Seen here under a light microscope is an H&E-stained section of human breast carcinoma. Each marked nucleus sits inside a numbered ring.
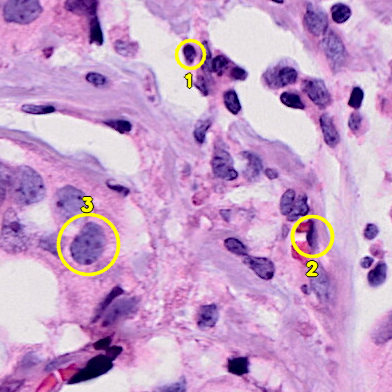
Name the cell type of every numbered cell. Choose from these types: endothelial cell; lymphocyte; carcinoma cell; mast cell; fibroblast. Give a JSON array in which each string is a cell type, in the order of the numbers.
["lymphocyte", "endothelial cell", "carcinoma cell"]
